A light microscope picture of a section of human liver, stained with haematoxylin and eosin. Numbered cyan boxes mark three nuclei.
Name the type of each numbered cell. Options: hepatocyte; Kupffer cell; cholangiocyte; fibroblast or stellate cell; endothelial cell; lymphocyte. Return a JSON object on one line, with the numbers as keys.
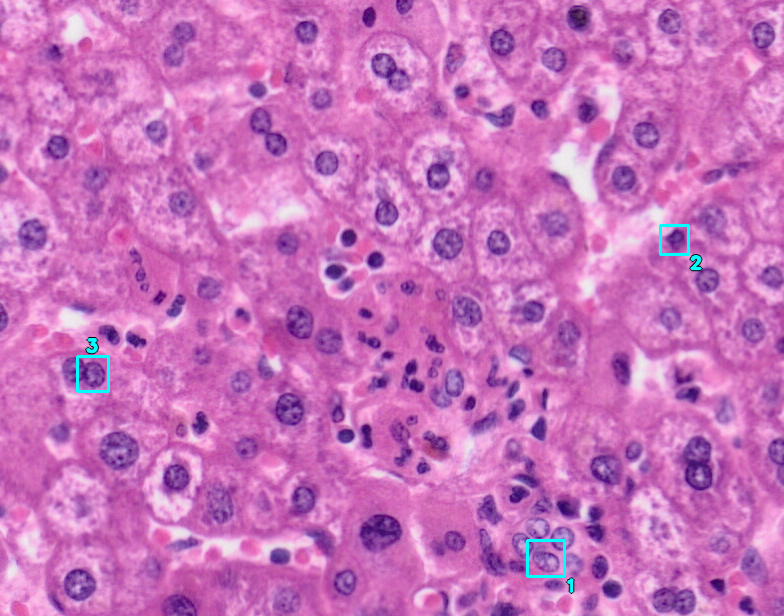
{"1": "cholangiocyte", "2": "fibroblast or stellate cell", "3": "hepatocyte"}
